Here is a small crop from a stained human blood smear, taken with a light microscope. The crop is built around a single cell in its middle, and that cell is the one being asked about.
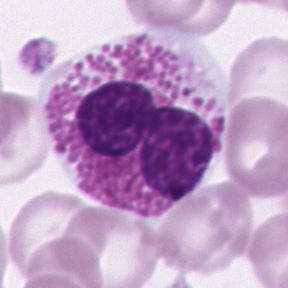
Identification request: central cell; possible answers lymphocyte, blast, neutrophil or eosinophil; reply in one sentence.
What sits at the centre of this crop is an eosinophil.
